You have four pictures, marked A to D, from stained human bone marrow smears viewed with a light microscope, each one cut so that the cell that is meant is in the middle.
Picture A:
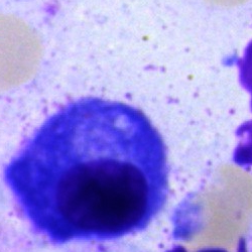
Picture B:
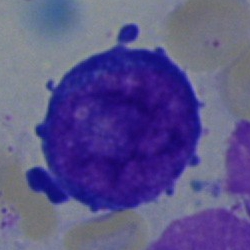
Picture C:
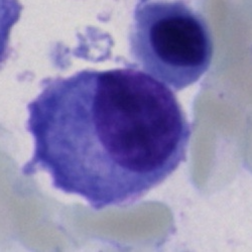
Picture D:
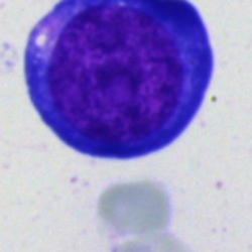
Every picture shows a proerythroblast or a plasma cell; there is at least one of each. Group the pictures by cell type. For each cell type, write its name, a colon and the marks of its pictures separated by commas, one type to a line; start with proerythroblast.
proerythroblast: B, D
plasma cell: A, C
